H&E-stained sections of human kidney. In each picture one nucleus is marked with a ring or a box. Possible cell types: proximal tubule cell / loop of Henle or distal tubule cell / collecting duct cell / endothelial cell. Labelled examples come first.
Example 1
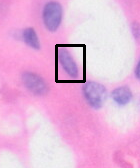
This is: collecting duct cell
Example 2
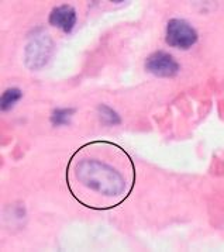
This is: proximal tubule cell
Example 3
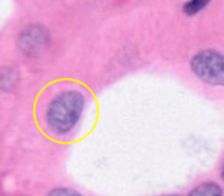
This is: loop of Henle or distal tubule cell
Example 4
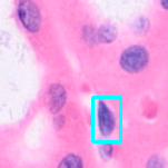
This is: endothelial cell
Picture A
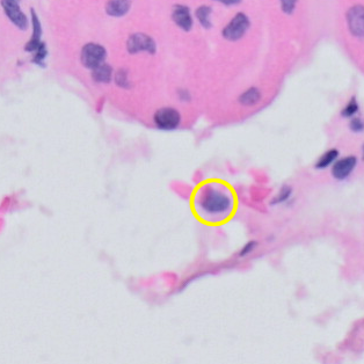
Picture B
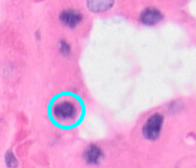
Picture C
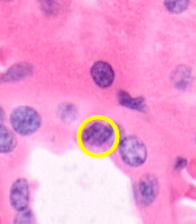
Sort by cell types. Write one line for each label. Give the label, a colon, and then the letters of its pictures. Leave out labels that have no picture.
loop of Henle or distal tubule cell: B
collecting duct cell: C
endothelial cell: A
